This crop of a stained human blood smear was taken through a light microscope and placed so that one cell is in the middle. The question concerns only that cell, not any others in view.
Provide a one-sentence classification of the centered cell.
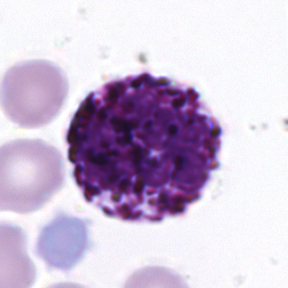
Positioned in the middle of the crop is a basophil.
